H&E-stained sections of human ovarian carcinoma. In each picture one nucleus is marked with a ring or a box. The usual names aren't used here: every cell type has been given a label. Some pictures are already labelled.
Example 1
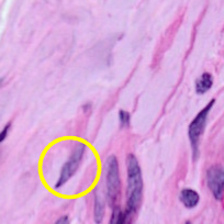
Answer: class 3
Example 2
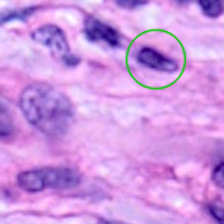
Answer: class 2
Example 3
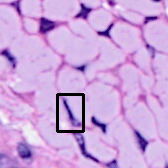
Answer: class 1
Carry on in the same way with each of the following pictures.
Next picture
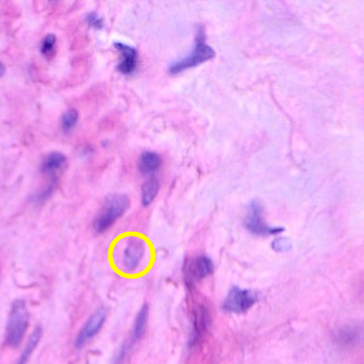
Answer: class 3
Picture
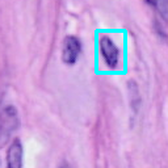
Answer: class 2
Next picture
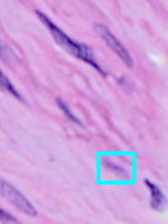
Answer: class 3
